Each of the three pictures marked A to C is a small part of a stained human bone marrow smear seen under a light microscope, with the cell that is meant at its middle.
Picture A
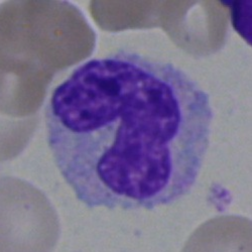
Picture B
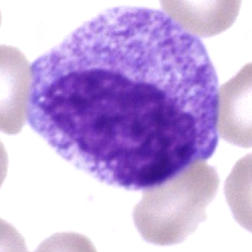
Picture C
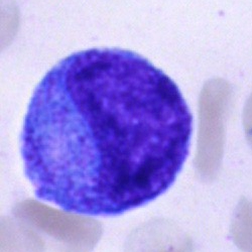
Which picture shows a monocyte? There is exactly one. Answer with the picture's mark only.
A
